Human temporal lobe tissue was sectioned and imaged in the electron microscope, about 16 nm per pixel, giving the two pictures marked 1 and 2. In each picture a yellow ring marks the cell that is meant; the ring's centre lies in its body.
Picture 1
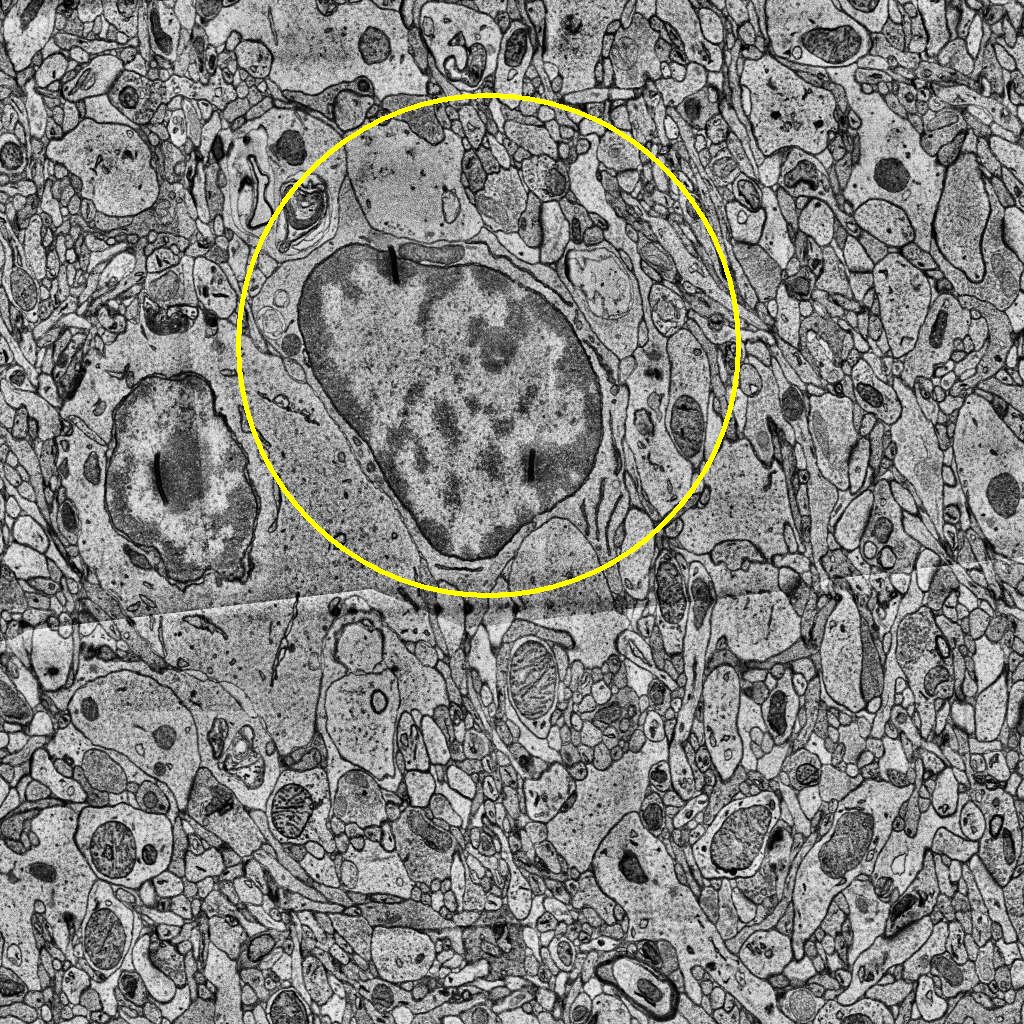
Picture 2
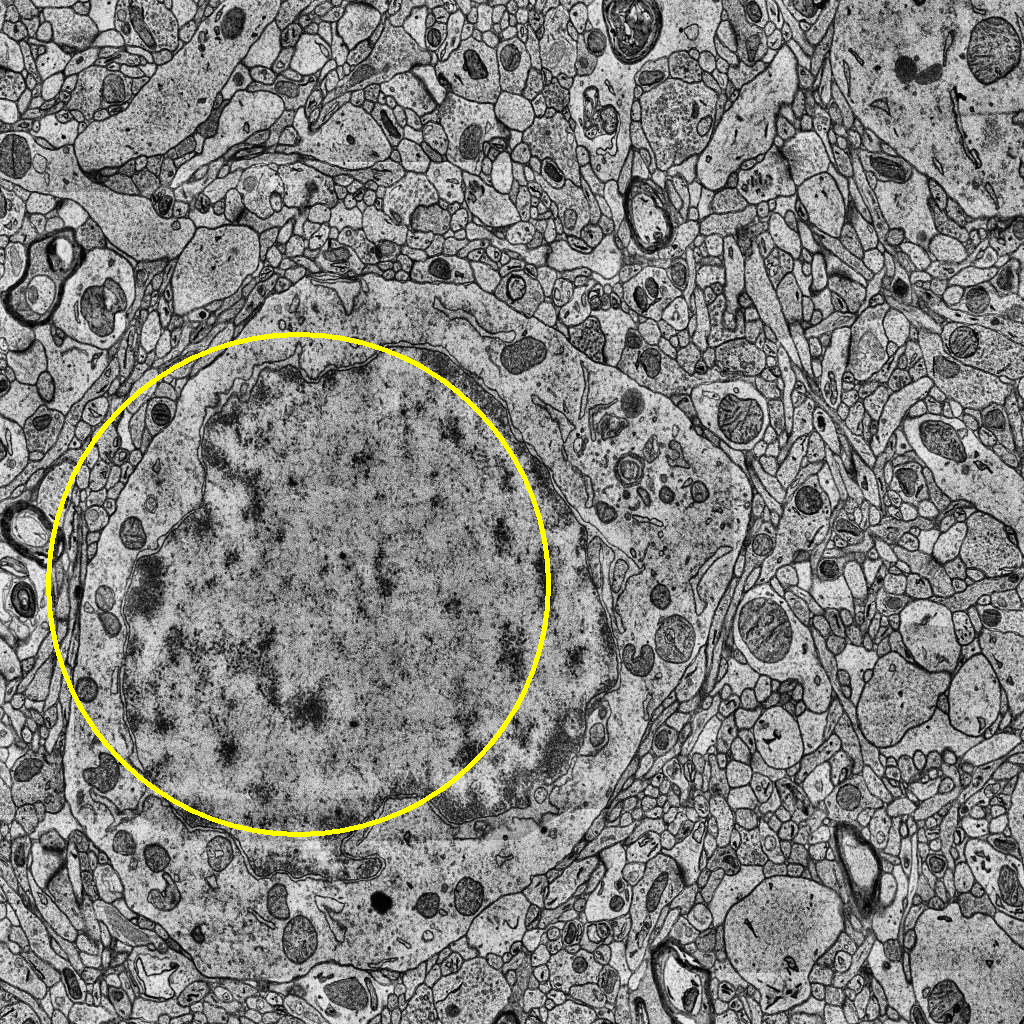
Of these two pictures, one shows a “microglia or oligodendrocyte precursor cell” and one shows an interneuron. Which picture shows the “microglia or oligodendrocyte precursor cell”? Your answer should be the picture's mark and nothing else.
1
